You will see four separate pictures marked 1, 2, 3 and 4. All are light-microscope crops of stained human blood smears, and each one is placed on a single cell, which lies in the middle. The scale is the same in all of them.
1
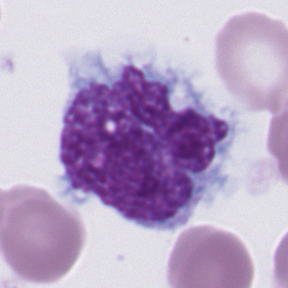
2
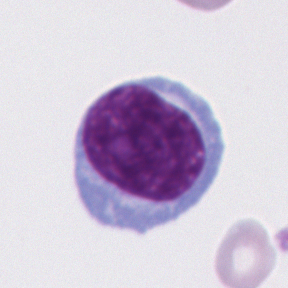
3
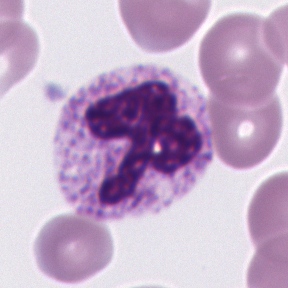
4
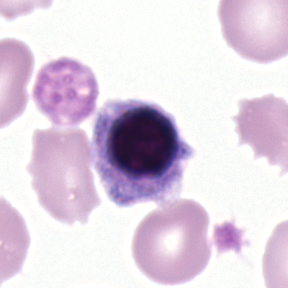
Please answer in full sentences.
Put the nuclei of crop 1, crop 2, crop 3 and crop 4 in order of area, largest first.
The order is 1, 2, 3, 4, beginning with the largest.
